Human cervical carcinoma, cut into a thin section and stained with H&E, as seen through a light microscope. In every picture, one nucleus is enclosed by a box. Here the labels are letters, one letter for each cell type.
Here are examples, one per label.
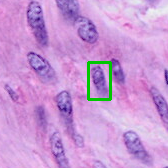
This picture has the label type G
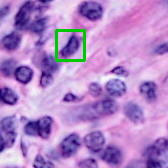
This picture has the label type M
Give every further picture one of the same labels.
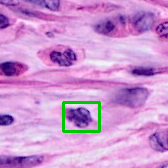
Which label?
type M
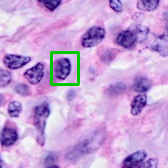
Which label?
type M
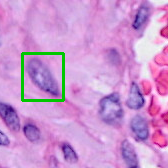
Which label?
type G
